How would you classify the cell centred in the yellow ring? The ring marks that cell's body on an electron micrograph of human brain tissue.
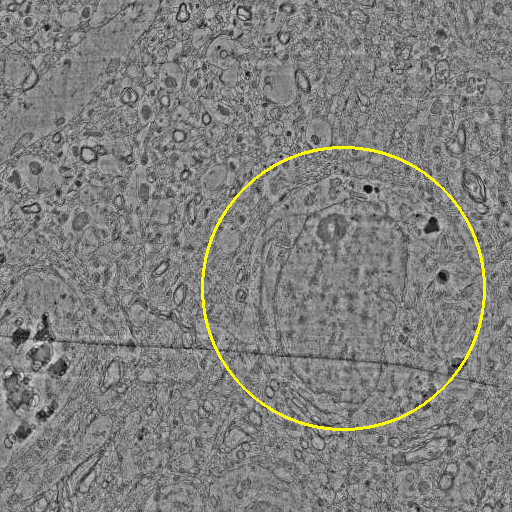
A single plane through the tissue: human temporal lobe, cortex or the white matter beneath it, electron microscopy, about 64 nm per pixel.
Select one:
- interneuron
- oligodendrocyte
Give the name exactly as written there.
interneuron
